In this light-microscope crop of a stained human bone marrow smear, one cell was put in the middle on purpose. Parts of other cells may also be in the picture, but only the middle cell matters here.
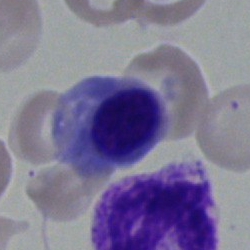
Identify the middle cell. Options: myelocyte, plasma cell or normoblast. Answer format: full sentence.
The cell positioned in the middle of the field is a normoblast.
